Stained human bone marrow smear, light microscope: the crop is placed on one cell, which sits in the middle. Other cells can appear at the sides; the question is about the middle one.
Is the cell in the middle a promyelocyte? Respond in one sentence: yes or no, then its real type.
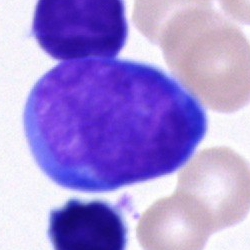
No, the central cell here is a proerythroblast; calling it a promyelocyte is not right.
